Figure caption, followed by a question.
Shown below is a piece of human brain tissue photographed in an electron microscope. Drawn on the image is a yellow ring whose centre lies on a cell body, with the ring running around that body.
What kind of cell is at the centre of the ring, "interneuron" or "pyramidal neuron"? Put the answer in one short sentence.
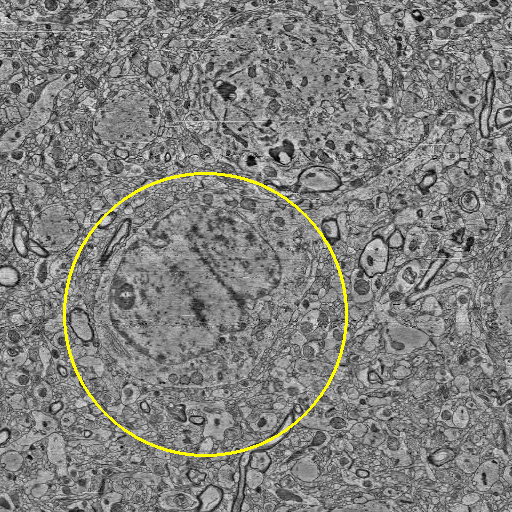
The ring marks the cell body of an interneuron.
